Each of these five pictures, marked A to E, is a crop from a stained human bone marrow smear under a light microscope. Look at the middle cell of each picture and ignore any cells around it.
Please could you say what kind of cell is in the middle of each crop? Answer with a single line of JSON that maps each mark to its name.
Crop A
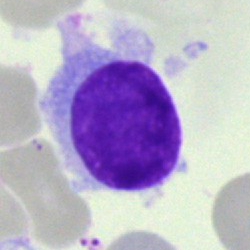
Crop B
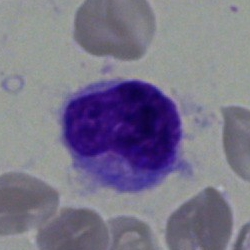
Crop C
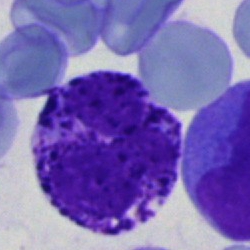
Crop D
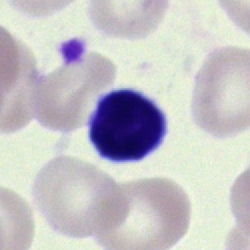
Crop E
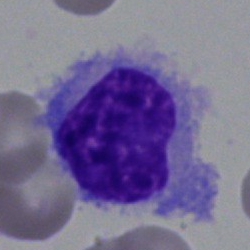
{"A": "hairy cell", "B": "hairy cell", "C": "basophil", "D": "lymphocyte", "E": "hairy cell"}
